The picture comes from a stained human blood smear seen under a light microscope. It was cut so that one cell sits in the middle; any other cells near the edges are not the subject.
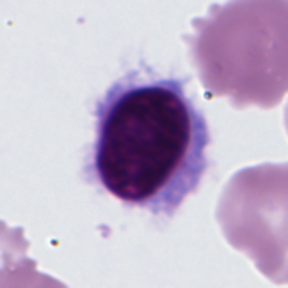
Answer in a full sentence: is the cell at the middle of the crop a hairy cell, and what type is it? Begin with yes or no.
Yes, the central cell of this crop corresponds to a hairy cell.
